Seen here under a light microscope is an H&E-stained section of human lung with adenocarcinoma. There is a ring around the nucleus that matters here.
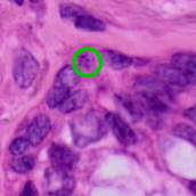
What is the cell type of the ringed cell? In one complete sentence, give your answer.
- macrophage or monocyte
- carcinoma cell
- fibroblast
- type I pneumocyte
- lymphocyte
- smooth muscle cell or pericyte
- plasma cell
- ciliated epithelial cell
In the tissue at hand, the ringed cell is a ciliated epithelial cell.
